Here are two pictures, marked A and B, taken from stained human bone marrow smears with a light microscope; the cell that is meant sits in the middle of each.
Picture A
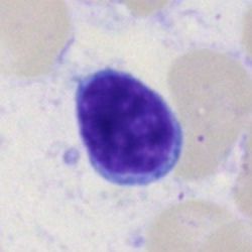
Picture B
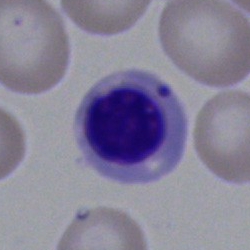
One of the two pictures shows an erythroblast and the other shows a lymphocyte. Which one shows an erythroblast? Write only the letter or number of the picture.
B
